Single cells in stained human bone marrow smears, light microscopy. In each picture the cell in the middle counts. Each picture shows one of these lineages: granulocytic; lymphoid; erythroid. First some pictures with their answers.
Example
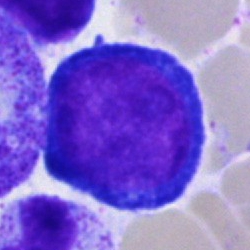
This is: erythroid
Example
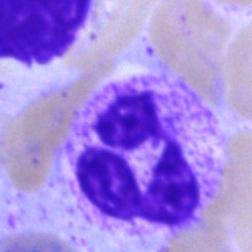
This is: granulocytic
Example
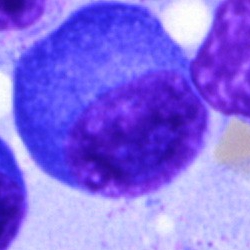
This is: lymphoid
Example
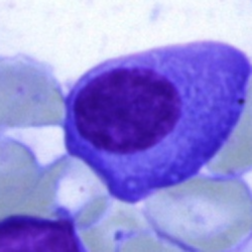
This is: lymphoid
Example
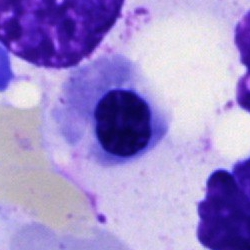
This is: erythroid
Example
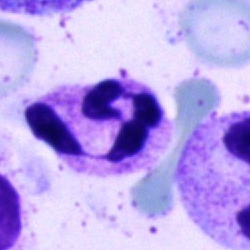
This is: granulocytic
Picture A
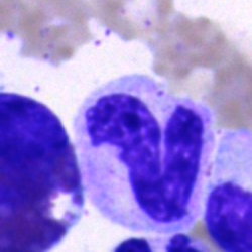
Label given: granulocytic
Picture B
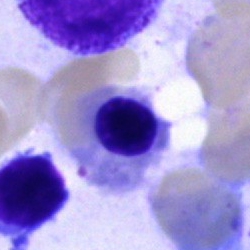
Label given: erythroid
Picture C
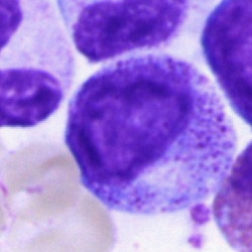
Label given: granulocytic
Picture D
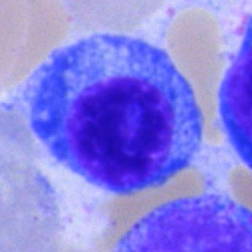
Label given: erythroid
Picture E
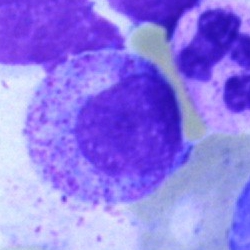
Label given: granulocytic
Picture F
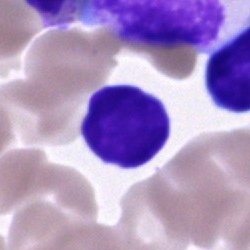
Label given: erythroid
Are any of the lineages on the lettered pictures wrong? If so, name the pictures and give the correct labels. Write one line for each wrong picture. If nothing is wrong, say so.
D should be lymphoid, not erythroid
F should be lymphoid, not erythroid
